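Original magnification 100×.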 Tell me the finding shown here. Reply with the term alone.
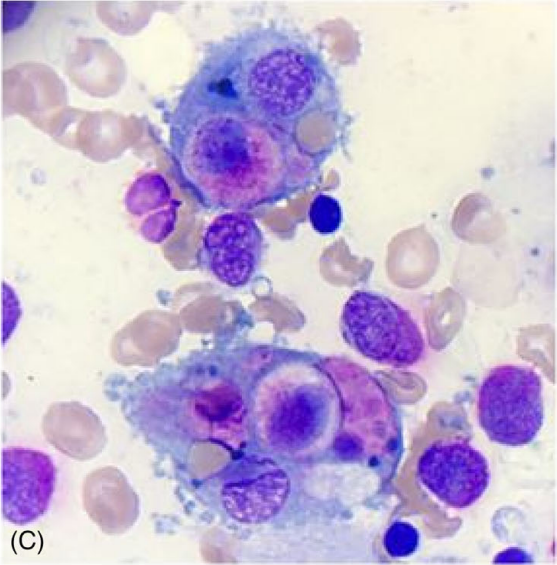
Multilineage hemophagocytosis.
